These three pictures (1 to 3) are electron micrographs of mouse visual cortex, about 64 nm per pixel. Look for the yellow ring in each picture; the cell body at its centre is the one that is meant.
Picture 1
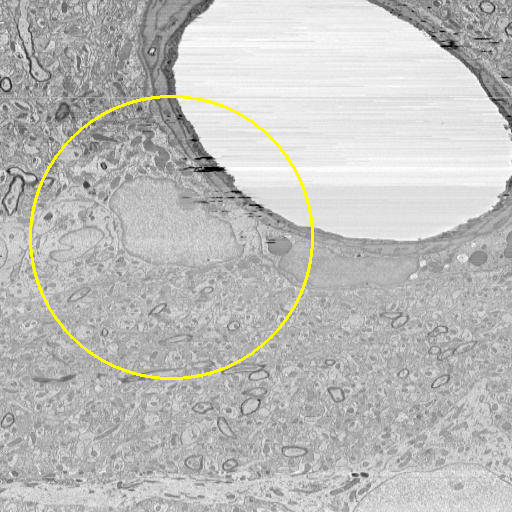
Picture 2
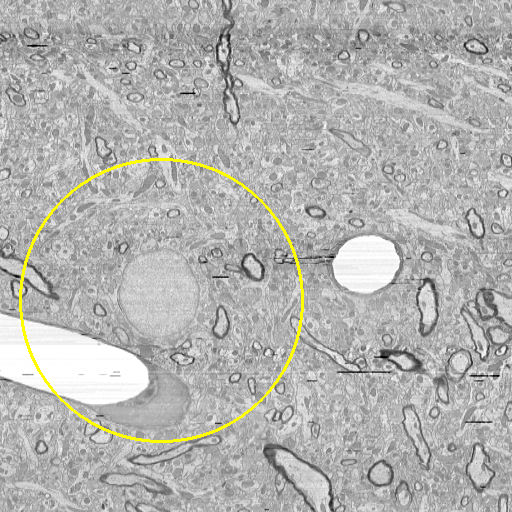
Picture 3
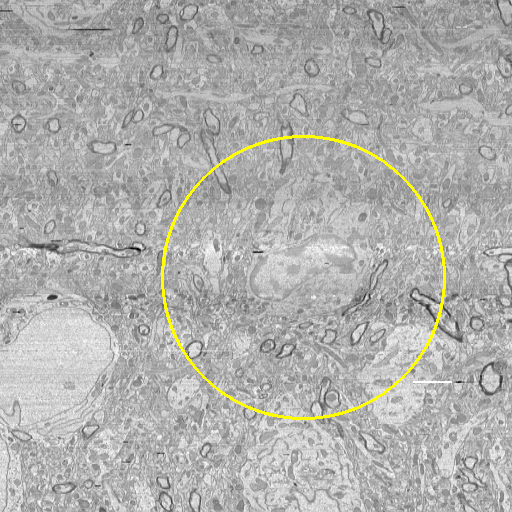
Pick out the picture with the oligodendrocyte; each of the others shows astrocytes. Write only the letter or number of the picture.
3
